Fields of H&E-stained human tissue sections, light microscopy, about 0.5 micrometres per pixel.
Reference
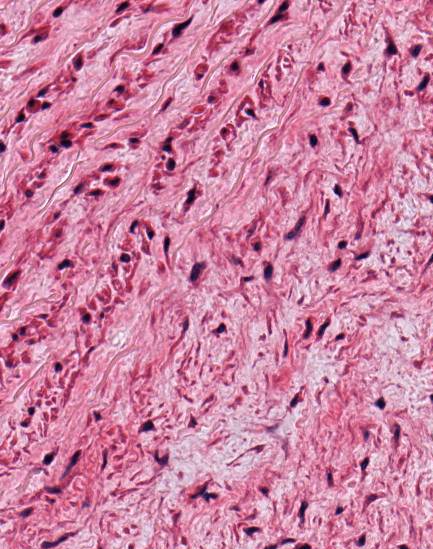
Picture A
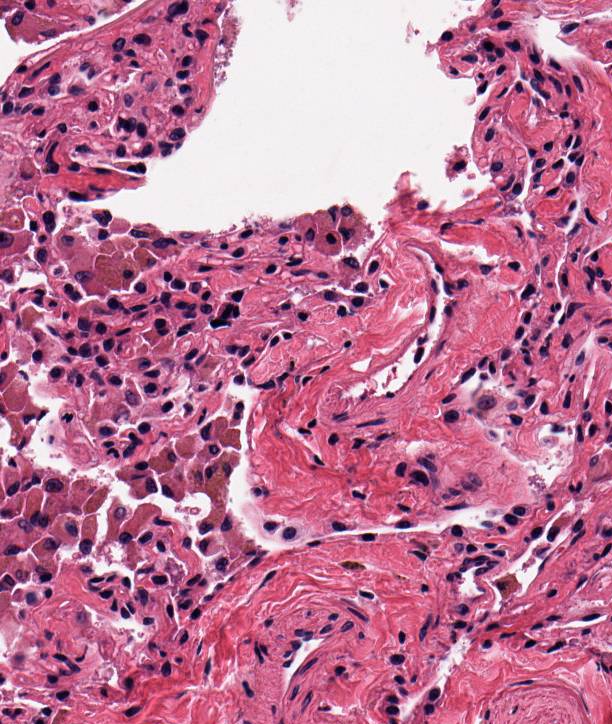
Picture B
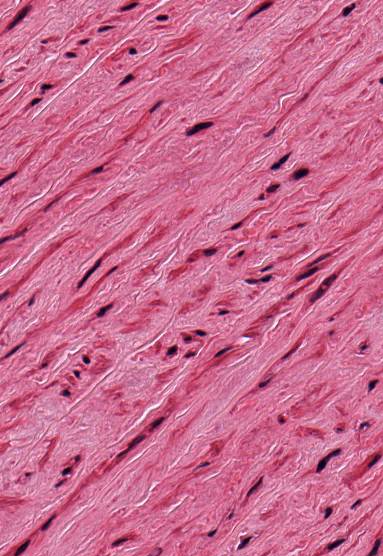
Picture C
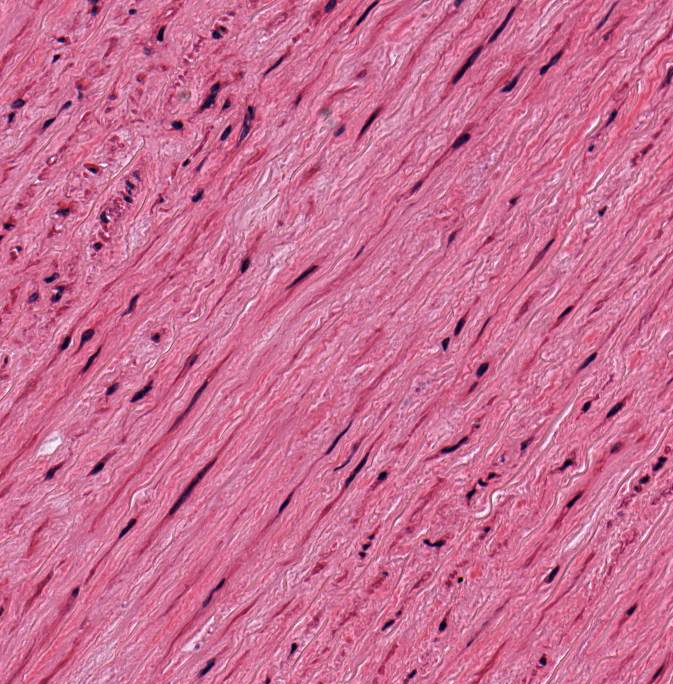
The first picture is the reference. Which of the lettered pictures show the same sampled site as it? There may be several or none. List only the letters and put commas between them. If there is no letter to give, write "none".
B, C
